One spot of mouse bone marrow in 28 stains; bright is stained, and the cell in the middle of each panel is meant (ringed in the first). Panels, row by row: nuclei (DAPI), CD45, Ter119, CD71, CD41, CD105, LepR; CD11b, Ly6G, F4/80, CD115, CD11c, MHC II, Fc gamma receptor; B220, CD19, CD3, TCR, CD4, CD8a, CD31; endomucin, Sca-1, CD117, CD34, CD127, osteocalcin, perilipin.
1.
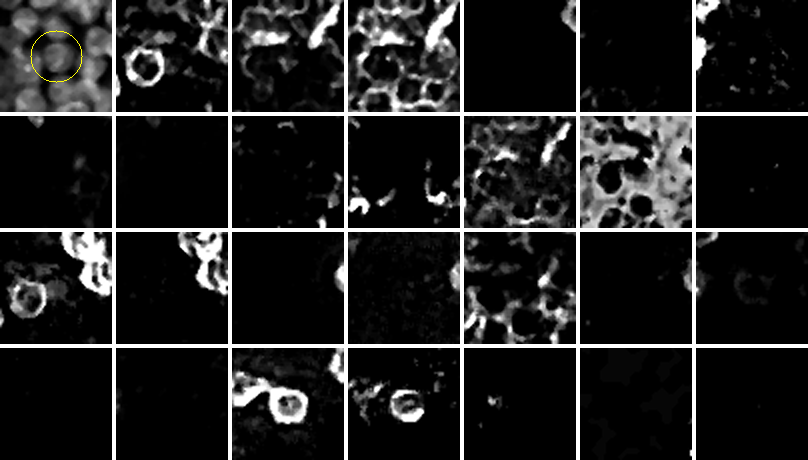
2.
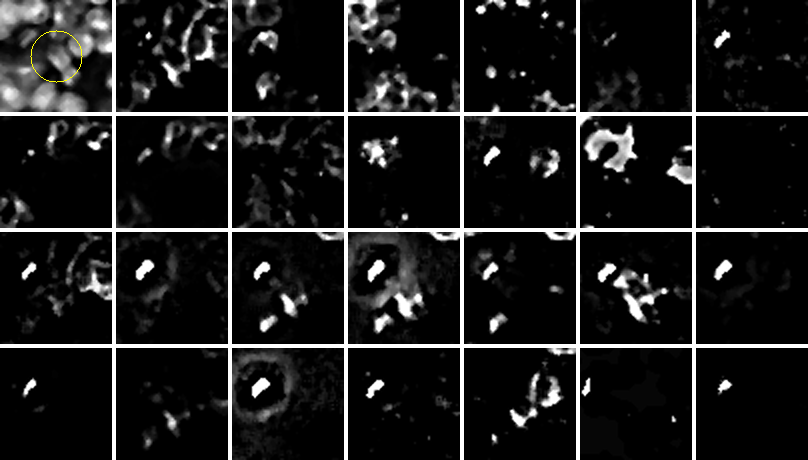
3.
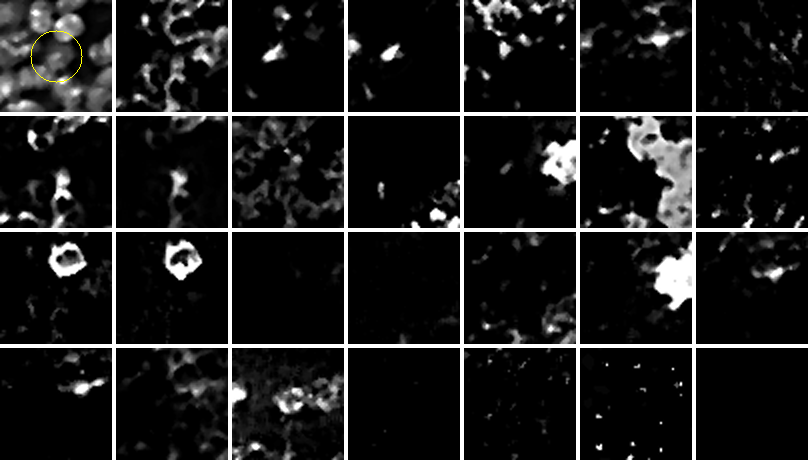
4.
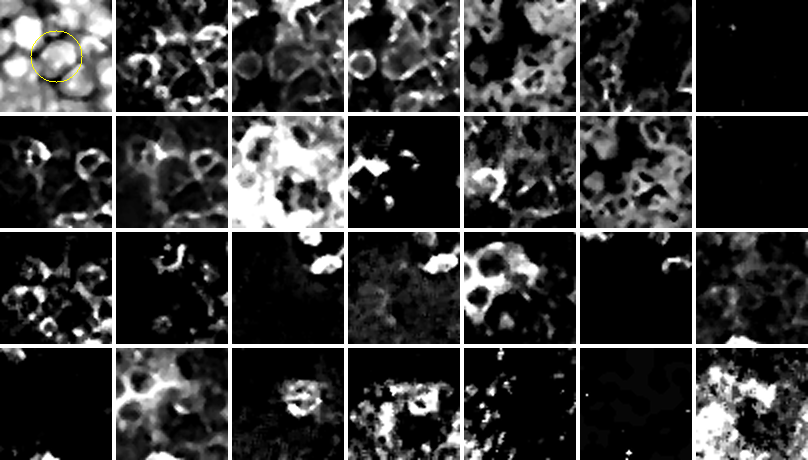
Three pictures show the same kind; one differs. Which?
Picture 2: a common lymphoid progenitor, while the others are erythroid progenitors (CFU-E).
